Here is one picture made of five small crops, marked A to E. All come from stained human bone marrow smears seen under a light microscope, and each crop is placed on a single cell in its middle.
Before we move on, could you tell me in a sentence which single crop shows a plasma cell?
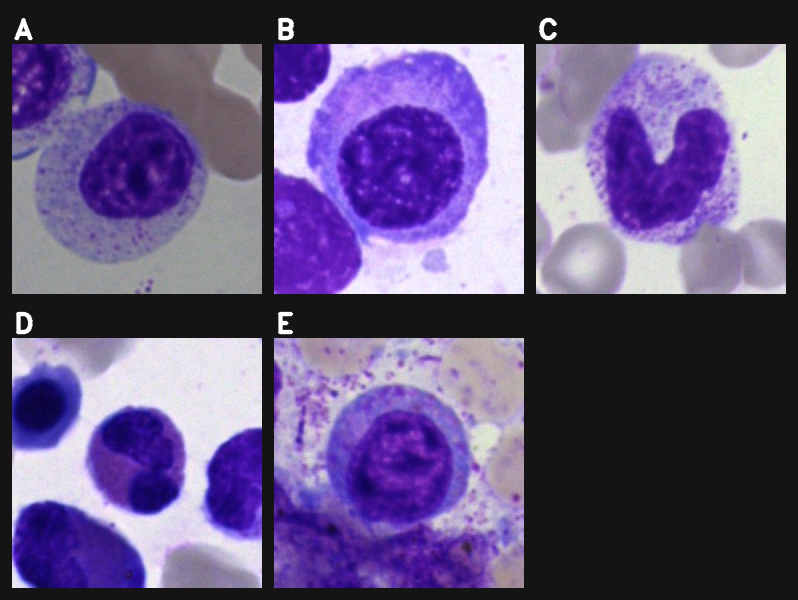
Crop B, and no other, is the one that shows a plasma cell.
